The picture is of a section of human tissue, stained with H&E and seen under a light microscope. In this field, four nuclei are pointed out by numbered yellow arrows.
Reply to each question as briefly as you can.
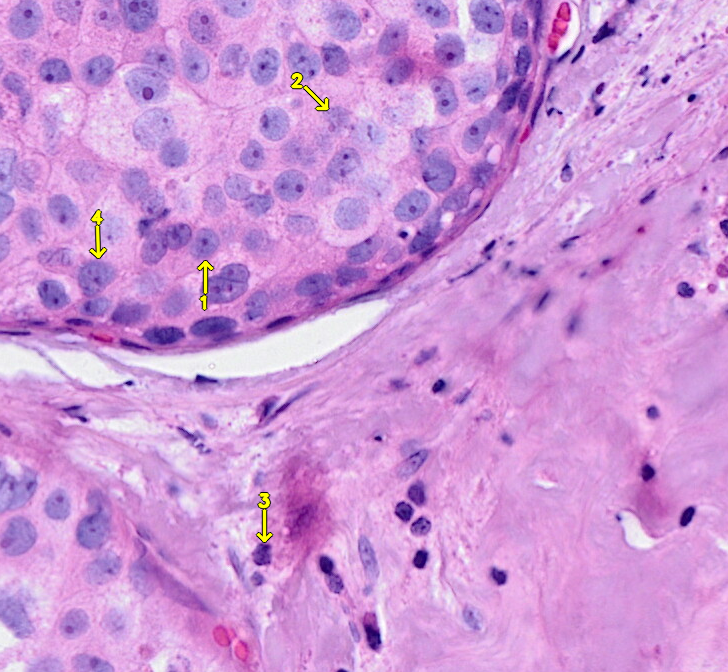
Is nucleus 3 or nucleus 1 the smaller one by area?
3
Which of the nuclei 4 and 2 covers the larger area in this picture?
4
